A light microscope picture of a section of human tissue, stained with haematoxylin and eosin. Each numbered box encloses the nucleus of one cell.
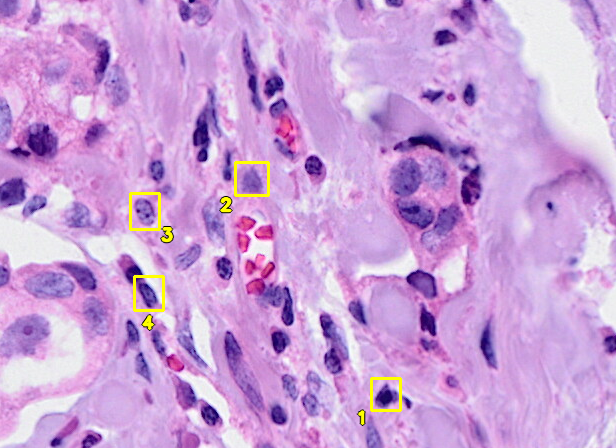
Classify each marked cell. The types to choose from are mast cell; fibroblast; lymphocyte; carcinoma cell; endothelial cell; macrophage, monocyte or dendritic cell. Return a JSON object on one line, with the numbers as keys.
{"1": "lymphocyte", "2": "endothelial cell", "3": "mast cell", "4": "lymphocyte"}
